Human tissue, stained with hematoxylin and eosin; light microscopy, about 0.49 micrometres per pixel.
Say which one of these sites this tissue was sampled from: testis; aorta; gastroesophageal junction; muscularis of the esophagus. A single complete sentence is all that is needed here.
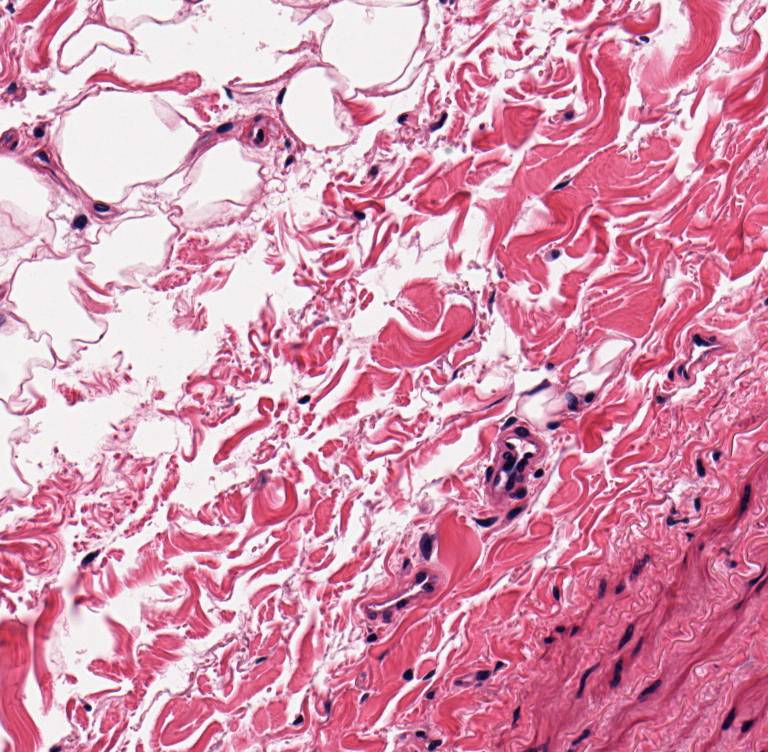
What was sampled is tissue from the aorta.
